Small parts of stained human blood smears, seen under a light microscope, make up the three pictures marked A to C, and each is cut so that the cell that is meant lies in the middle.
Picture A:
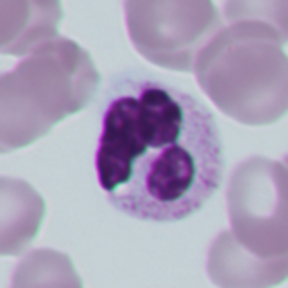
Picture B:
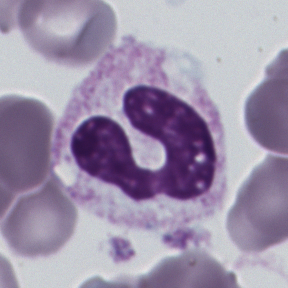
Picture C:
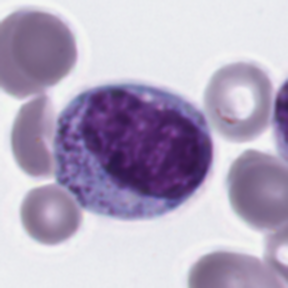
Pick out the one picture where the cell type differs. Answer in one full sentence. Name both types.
Picture C differs, because its cell is a metamyelocyte and the rest are segmented neutrophils.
